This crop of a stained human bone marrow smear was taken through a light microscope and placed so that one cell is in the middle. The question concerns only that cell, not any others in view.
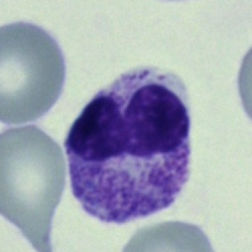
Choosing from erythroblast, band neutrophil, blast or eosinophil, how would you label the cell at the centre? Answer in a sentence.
The center cell of this crop is a band neutrophil.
